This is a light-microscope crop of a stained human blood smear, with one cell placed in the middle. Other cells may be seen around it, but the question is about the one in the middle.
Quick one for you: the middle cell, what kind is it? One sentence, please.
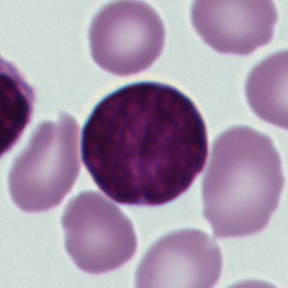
What sits at the centre of this crop is a blast.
